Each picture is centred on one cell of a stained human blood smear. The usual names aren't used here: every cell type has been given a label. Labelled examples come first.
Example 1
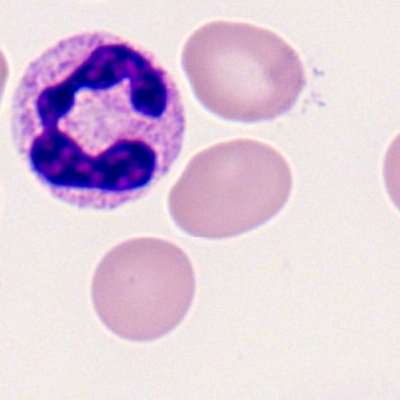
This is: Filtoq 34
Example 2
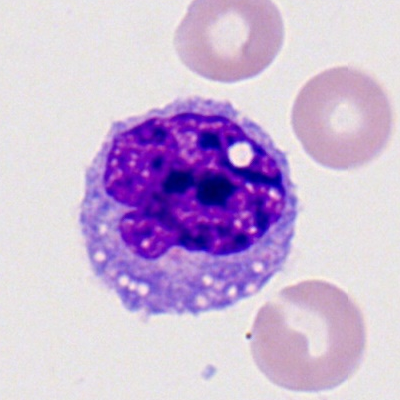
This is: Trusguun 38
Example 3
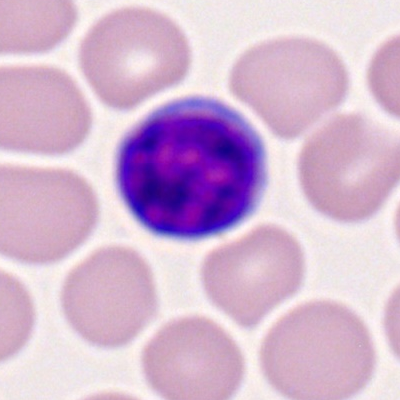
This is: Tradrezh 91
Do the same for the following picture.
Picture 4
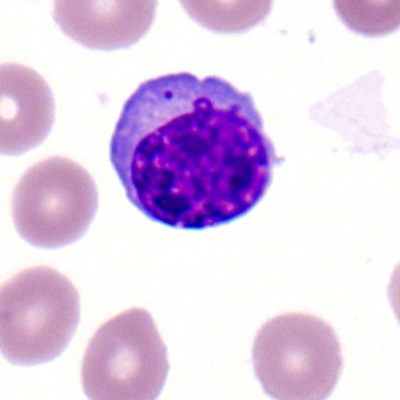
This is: Tradrezh 91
